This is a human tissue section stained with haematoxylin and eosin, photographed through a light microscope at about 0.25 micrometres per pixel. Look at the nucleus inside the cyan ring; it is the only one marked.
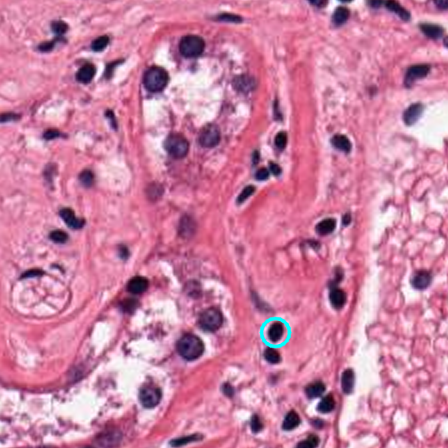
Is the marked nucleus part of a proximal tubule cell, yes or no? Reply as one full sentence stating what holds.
No, the cell bearing the marked nucleus is not a proximal tubule cell but a supporting cell.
